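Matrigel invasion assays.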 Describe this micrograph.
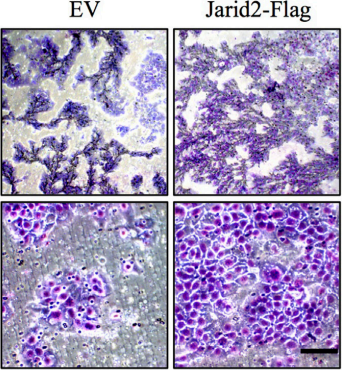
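In the upper row the cells form dark, branching, net-like strands and clumps, with bare patches between them in the left image and a denser, more continuous network in the right. The right images carry visibly more stained cells than the left ones.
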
